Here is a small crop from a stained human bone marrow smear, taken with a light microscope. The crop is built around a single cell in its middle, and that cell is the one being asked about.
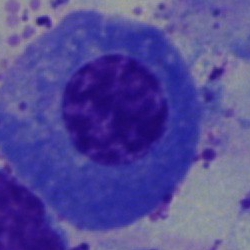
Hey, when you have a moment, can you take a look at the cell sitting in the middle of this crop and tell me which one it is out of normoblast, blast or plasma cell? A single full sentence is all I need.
Looking at the middle of the crop, the cell there is a plasma cell.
